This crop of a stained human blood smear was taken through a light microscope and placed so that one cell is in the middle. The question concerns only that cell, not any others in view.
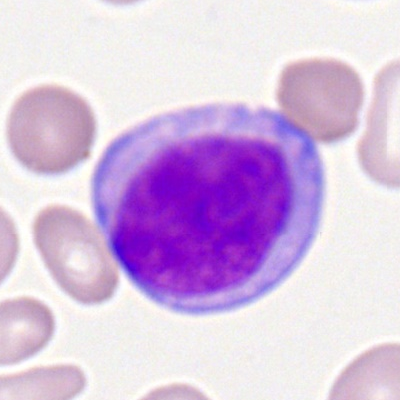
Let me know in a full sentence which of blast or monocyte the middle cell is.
In the centre of this crop there is a blast.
